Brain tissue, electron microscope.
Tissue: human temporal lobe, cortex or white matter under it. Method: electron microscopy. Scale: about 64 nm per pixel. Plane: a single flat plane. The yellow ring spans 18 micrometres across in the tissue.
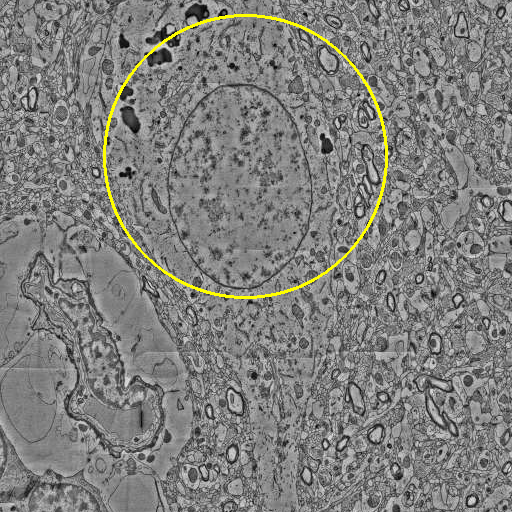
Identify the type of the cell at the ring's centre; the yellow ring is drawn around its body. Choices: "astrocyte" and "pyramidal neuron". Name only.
pyramidal neuron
